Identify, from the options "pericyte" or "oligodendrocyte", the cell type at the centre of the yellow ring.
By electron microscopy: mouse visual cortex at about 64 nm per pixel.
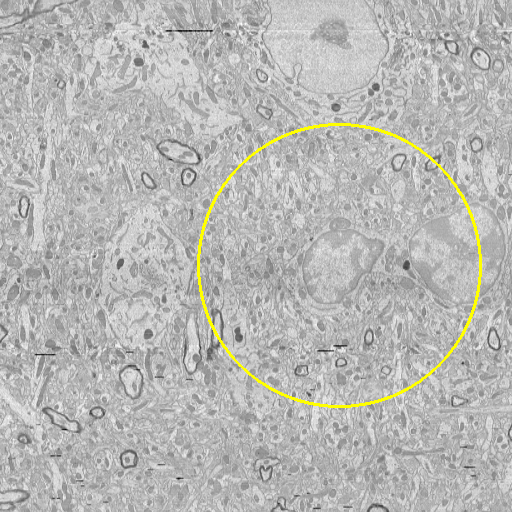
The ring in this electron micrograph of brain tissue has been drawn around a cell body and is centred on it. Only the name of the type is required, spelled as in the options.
oligodendrocyte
